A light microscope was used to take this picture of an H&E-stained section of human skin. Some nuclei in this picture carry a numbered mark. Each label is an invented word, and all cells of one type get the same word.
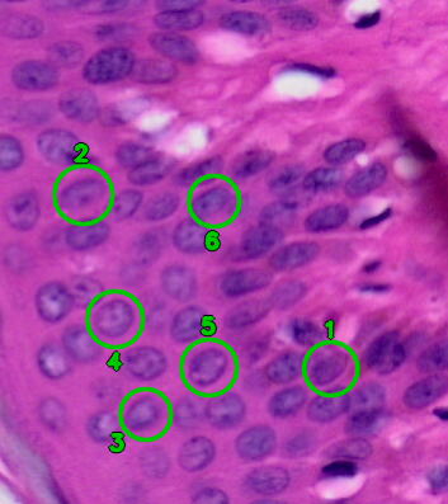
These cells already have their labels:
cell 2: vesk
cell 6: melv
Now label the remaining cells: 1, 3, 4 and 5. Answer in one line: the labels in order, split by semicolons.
melv; vesk; vesk; vesk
